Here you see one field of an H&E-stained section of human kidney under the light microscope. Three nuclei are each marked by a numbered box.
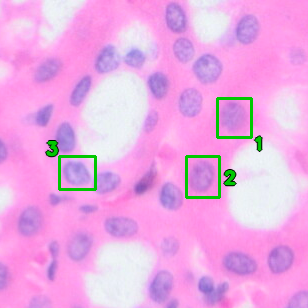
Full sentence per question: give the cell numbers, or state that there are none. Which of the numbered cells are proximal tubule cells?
Cells 1 and 2 are recognised here as proximal tubule cells.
